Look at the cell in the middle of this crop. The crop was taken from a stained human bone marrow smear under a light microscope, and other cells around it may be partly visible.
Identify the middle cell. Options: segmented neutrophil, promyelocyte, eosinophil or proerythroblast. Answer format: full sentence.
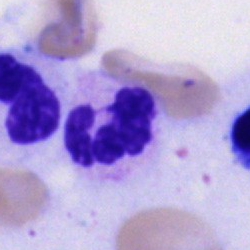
Answering briefly, the cell in the middle is a segmented neutrophil.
